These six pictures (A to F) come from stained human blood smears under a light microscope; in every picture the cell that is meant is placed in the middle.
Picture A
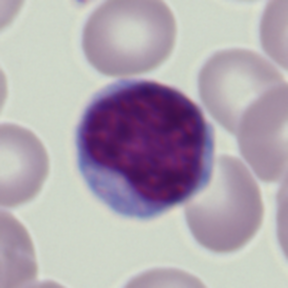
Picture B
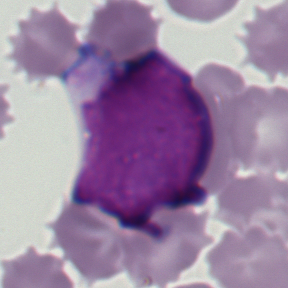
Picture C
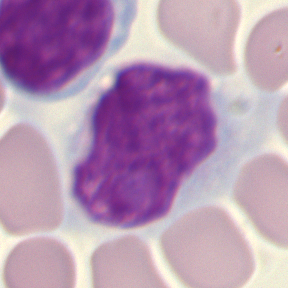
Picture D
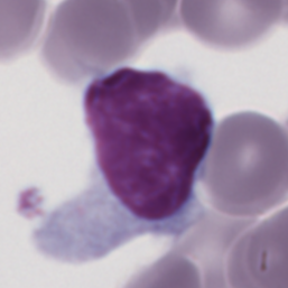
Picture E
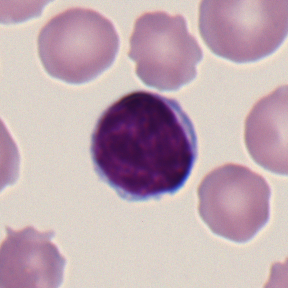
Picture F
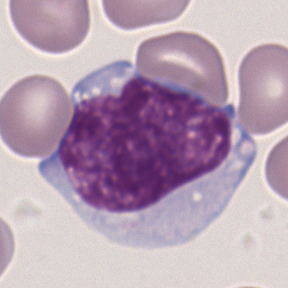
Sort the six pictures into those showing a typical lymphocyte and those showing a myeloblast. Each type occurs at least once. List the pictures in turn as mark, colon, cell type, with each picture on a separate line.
A: typical lymphocyte
B: myeloblast
C: myeloblast
D: typical lymphocyte
E: typical lymphocyte
F: myeloblast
